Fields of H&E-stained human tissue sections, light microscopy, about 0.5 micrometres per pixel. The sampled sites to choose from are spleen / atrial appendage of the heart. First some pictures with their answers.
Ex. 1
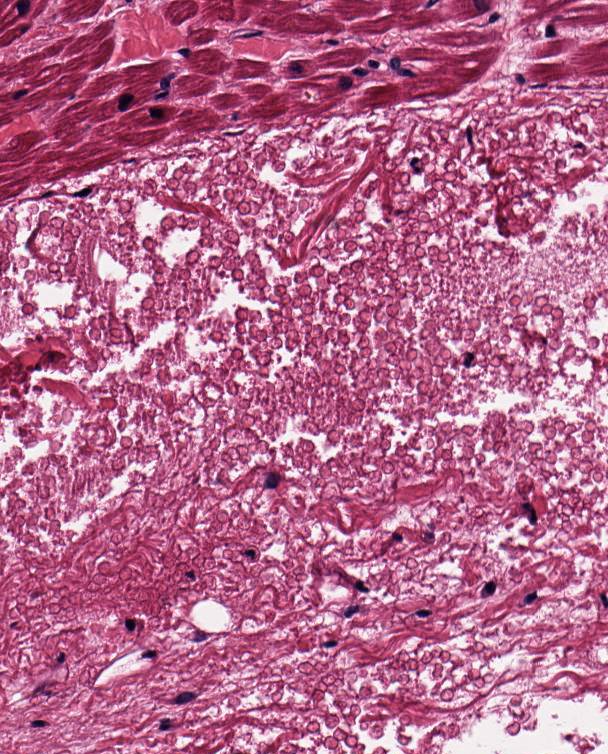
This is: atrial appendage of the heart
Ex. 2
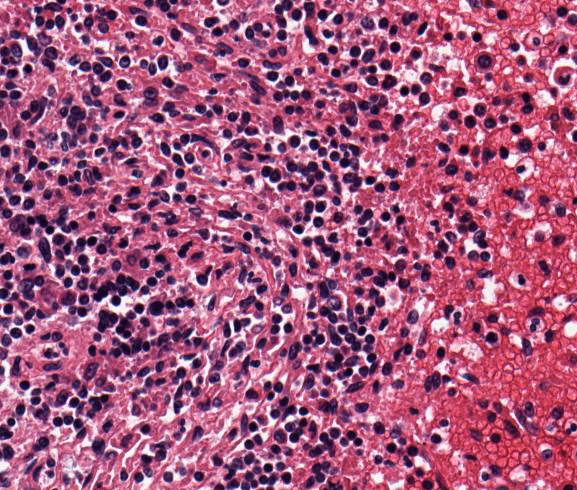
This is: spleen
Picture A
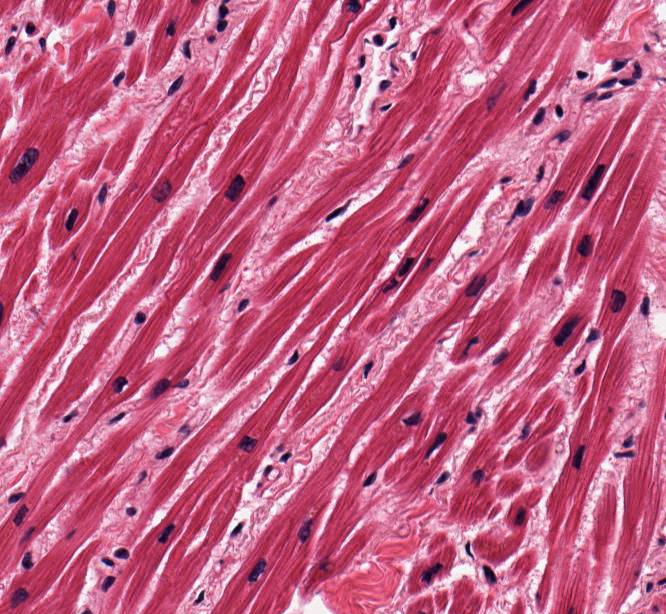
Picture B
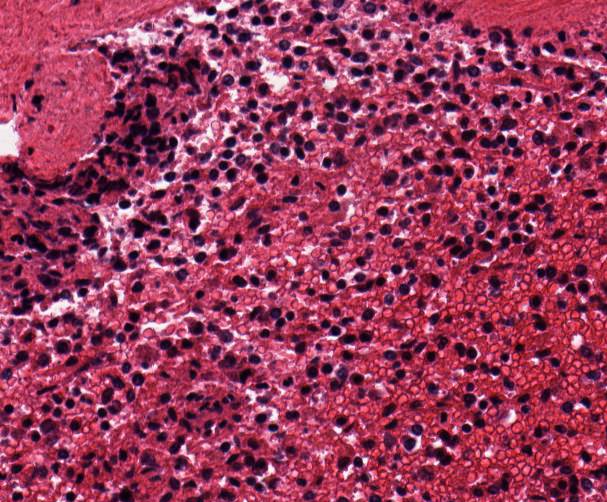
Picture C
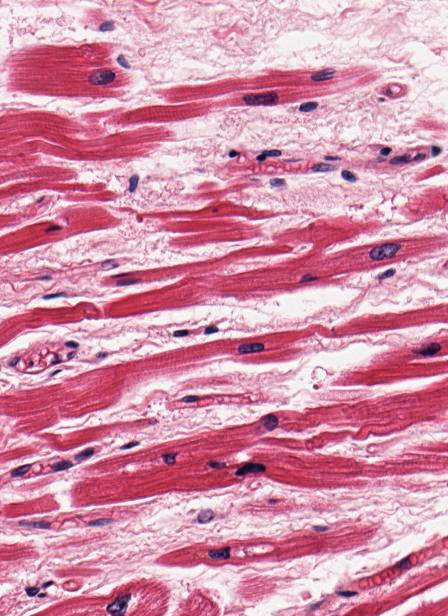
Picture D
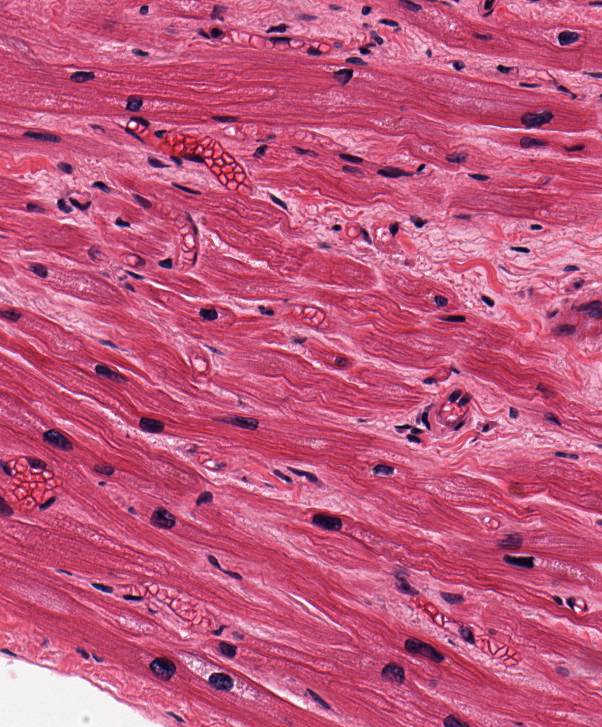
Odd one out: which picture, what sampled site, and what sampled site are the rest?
B differs and shows spleen; the others show atrial appendage of the heart.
